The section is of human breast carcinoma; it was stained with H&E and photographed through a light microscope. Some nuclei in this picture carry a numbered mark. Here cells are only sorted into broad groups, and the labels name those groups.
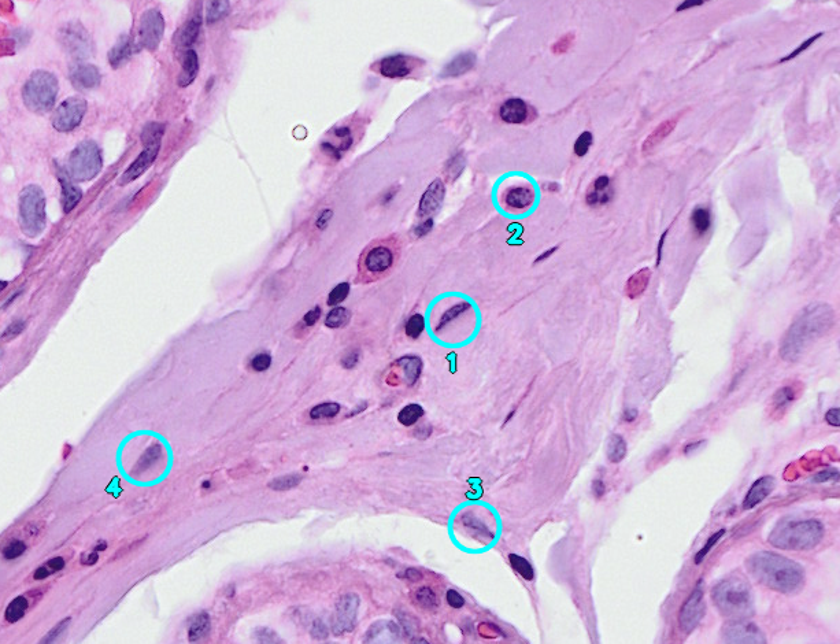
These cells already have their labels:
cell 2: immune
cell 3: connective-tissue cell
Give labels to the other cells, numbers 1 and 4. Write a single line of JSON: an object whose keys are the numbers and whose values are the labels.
{"1": "connective-tissue cell", "4": "connective-tissue cell"}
